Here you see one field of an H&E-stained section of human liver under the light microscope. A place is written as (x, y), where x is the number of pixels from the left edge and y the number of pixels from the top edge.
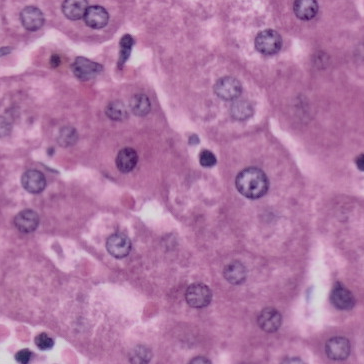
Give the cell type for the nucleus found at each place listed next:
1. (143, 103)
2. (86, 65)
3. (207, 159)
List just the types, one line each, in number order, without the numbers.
hepatocyte
Kupffer cell
lymphocyte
